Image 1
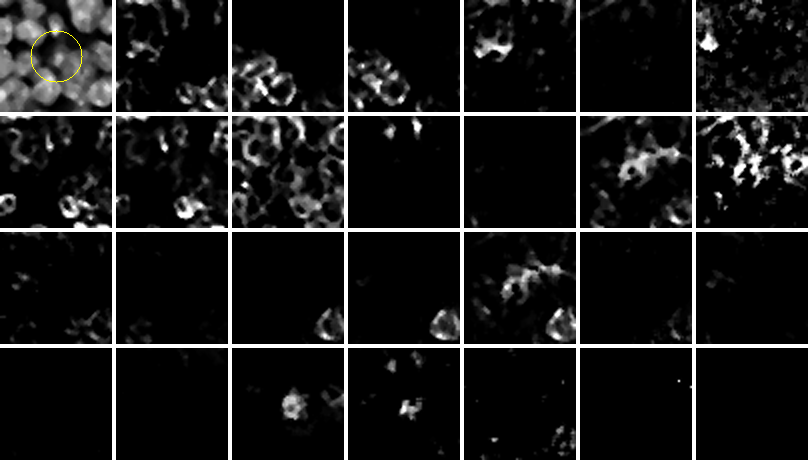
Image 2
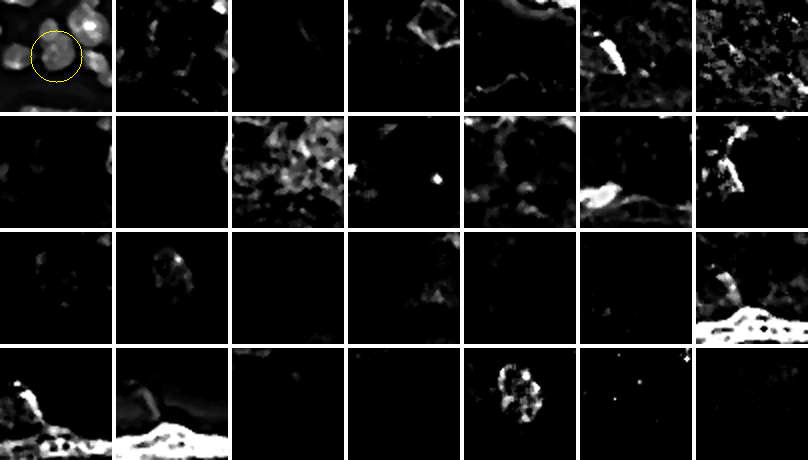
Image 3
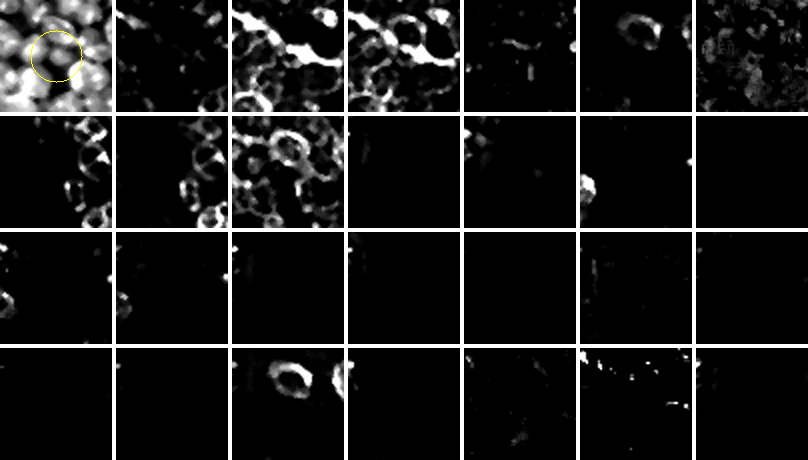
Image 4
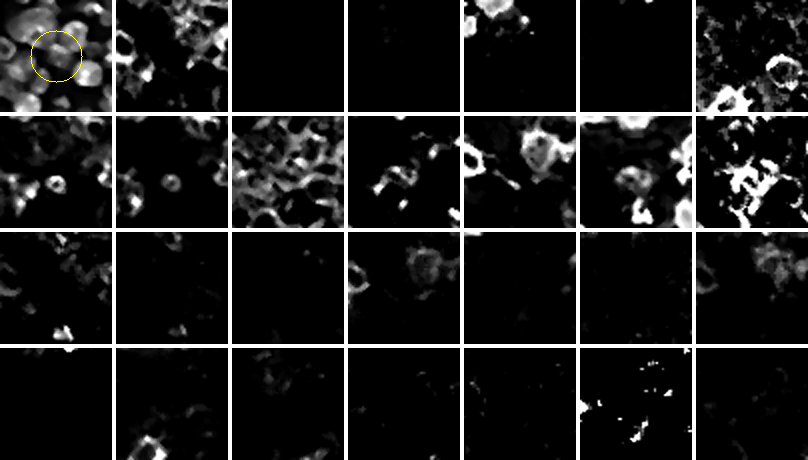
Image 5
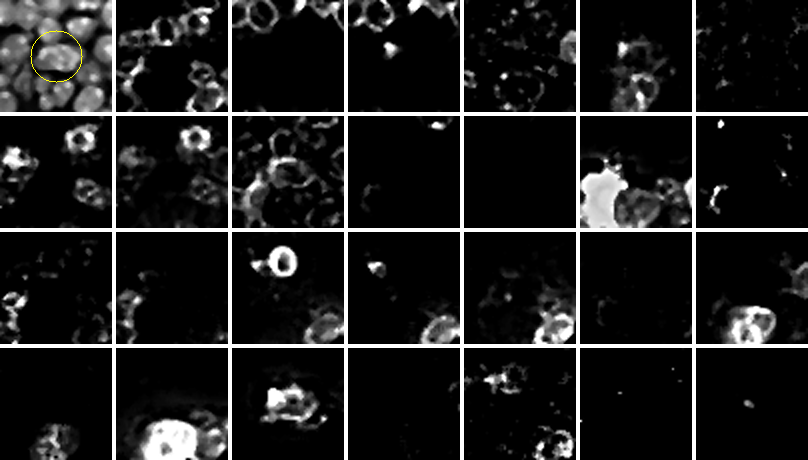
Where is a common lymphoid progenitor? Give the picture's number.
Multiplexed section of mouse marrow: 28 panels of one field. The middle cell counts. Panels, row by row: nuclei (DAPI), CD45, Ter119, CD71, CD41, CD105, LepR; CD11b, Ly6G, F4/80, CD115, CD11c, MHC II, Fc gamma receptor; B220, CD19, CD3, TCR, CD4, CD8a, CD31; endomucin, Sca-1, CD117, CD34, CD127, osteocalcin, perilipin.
2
